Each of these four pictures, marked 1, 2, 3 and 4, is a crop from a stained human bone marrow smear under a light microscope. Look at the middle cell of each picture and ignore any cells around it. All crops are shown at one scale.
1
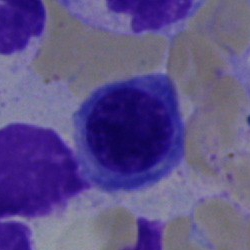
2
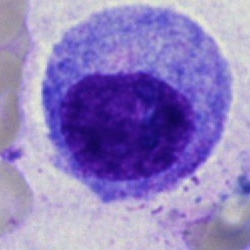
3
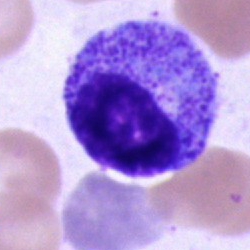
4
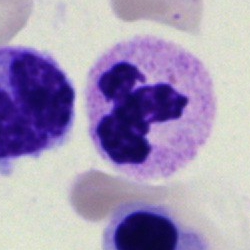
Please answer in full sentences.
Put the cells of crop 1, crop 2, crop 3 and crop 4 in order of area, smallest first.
Smallest first: 1, 4, 3, 2.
